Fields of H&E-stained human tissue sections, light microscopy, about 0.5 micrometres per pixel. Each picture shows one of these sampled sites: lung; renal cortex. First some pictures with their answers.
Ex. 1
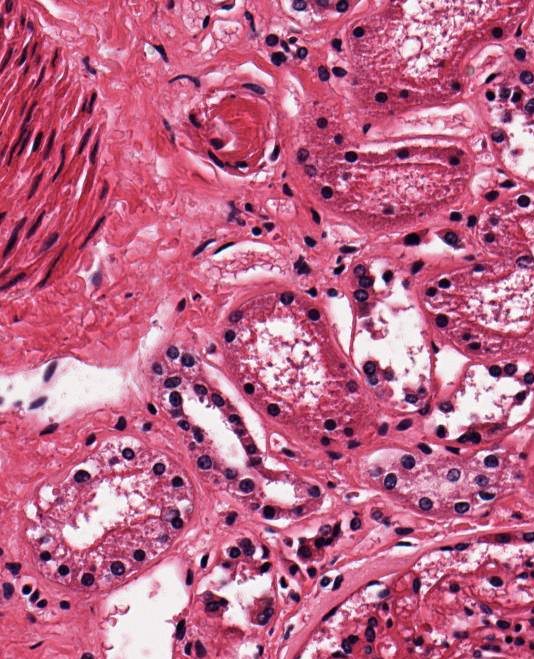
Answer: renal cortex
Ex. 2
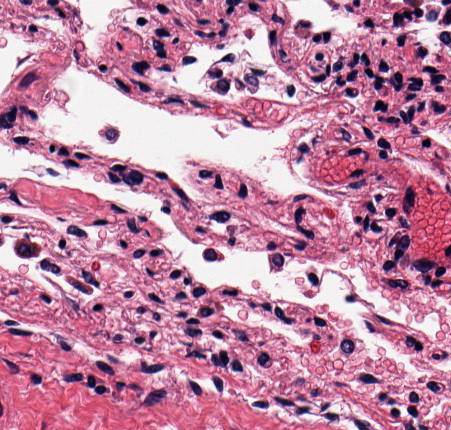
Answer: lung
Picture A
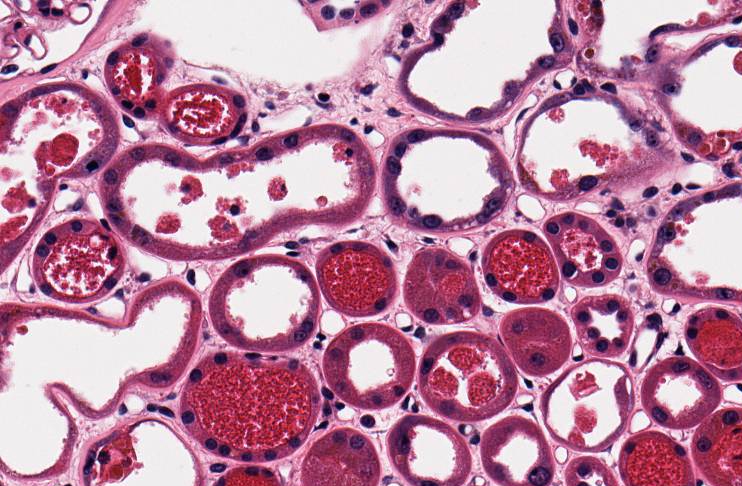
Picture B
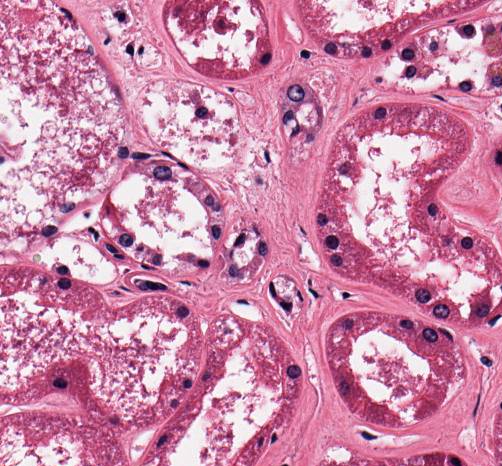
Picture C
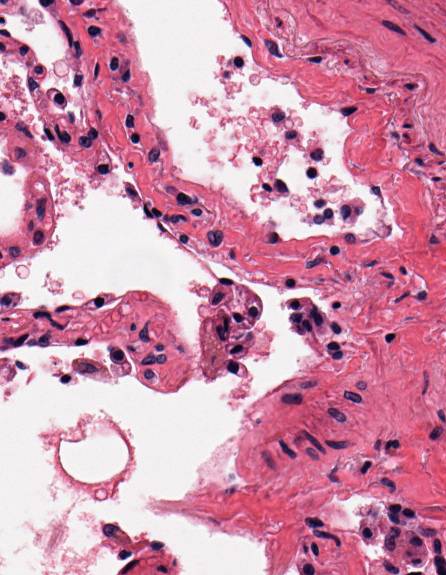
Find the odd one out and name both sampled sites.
C: lung; all the others: renal cortex.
